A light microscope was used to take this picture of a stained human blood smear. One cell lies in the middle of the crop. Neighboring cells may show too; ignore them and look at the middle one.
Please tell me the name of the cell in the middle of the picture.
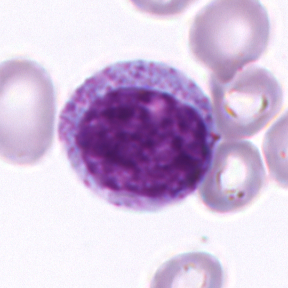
myelocyte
